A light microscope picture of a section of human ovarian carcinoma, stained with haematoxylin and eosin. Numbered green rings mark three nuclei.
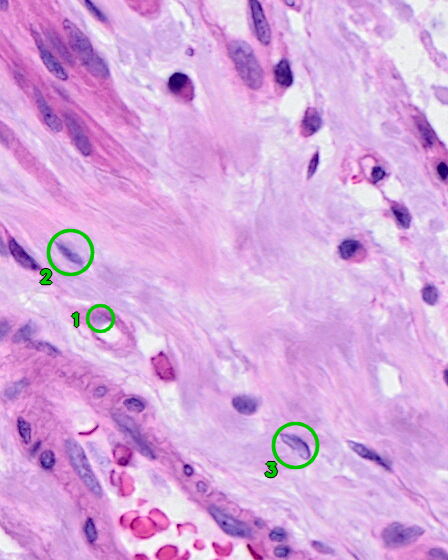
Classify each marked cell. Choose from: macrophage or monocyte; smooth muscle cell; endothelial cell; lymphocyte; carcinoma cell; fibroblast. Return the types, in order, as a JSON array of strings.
["endothelial cell", "fibroblast", "fibroblast"]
